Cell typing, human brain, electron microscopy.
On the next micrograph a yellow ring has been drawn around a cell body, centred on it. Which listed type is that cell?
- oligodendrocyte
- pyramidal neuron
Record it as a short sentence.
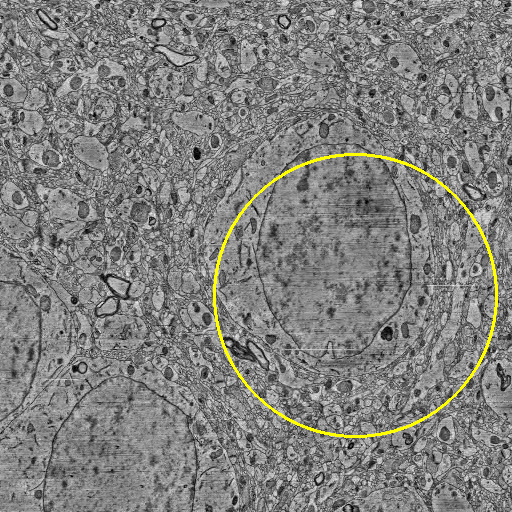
The cell body in the ring's centre belongs to a pyramidal neuron.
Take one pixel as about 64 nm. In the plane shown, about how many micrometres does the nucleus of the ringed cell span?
The nucleus comes to roughly 15 by 10 micrometres in this plane.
